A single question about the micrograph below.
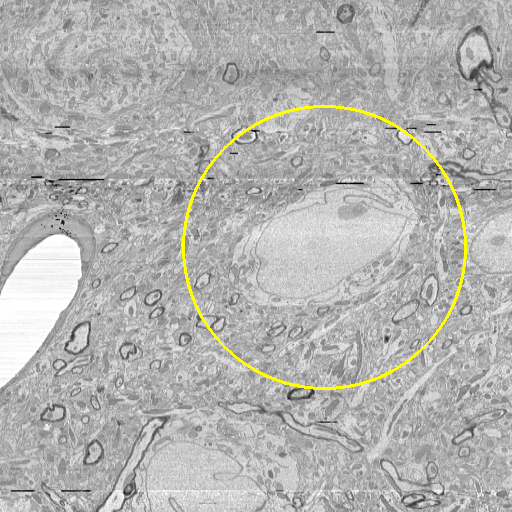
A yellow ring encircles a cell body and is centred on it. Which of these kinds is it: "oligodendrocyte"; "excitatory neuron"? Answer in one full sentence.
The cell body at the centre of the yellow ring belongs to an excitatory neuron.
